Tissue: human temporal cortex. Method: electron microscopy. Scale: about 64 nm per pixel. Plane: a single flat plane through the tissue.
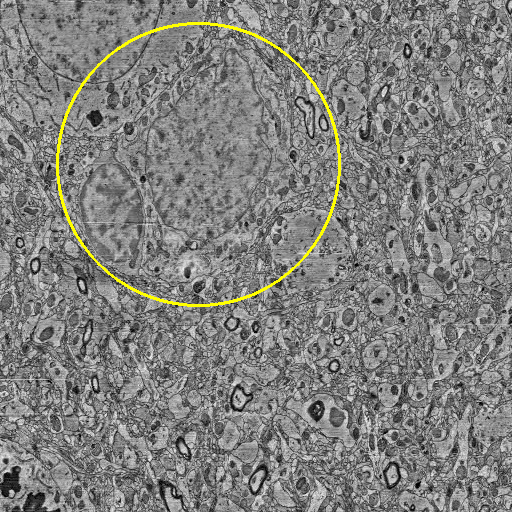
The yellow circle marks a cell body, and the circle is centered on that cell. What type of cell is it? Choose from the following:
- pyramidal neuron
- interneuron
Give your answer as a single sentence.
This cell body belongs to an interneuron.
